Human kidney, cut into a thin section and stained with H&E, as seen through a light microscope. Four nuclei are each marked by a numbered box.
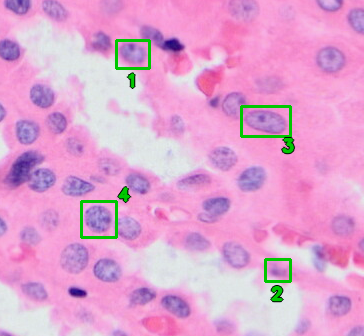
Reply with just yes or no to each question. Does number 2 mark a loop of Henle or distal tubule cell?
yes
